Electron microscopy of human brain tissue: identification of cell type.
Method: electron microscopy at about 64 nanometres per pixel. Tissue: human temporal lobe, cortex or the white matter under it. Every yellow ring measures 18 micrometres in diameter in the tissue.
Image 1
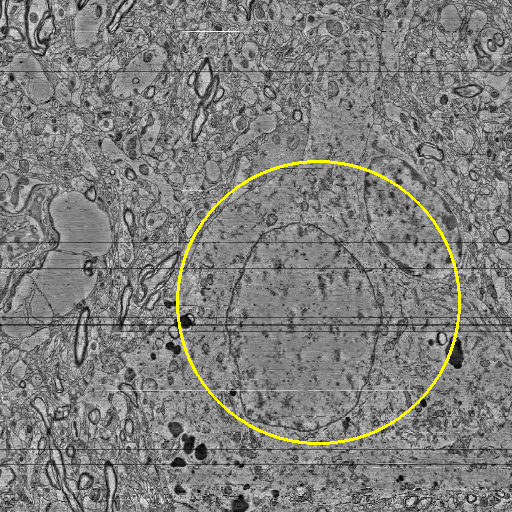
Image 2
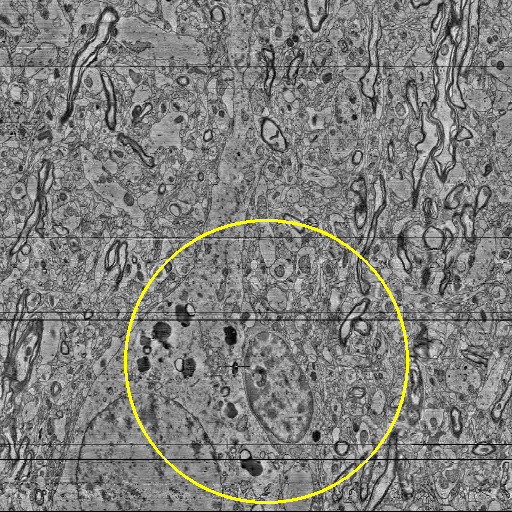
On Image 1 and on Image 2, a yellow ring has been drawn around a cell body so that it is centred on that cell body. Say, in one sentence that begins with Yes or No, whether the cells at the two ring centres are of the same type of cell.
No, the two cells are two separate types of cell.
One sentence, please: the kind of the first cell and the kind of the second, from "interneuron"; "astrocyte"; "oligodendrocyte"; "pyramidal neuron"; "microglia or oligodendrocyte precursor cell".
The ring in the first picture surrounds a pyramidal neuron, and the ring in the second surrounds an oligodendrocyte.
